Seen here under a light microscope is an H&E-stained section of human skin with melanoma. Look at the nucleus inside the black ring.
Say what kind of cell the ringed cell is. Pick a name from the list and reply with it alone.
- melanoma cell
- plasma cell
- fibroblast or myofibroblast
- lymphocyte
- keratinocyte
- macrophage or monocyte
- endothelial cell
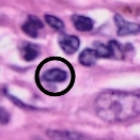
lymphocyte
